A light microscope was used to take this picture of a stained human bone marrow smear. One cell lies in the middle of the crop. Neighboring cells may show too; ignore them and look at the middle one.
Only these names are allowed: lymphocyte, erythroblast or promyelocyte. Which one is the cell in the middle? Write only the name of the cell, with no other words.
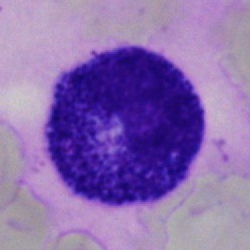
promyelocyte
